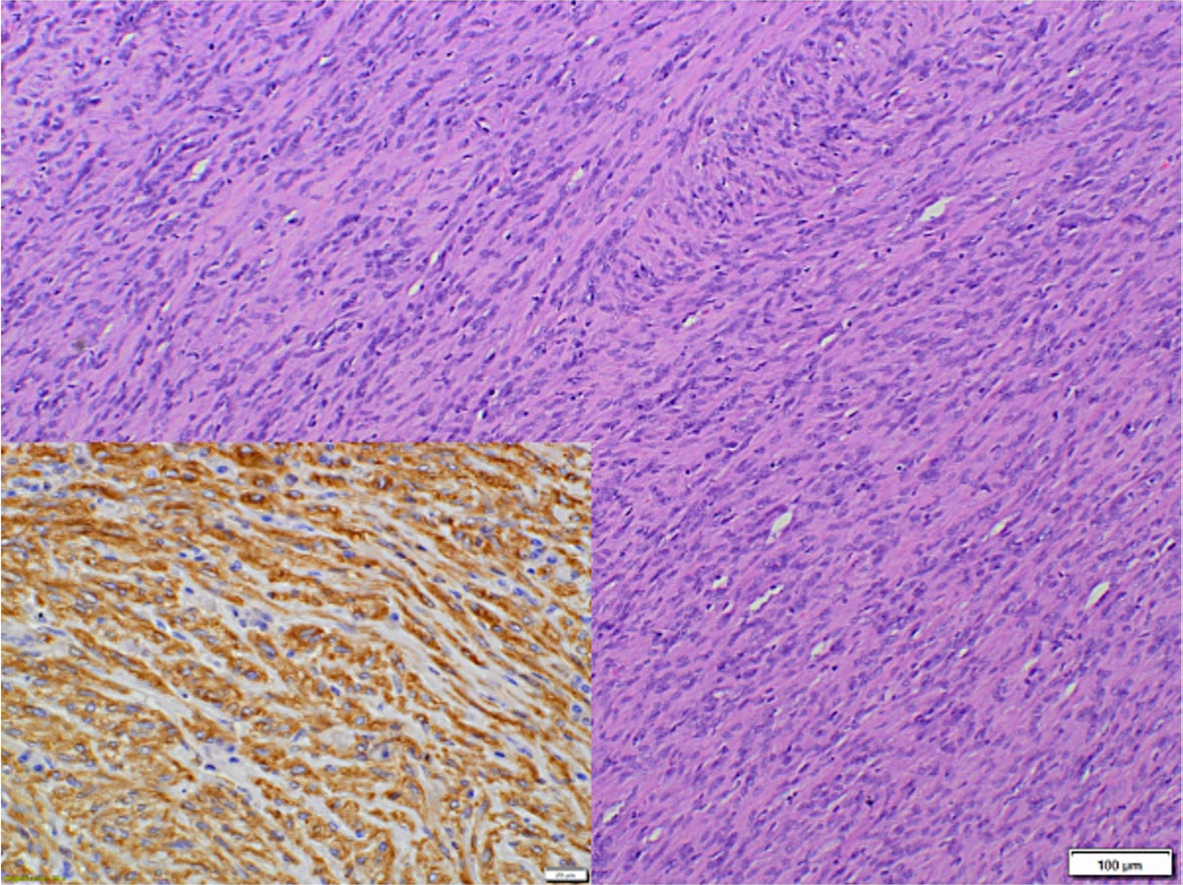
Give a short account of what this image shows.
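This is a densely cellular tumour made up of spindle-shaped cells packed closely together. The cells have elongated, oval to fusiform nuclei stained blue-purple and pale pink, poorly defined cytoplasm. They are arranged in long streaming bundles that run in different directions, meeting at angles and in places forming a whorled area near the top of the field. Small, thin-walled vascular spaces are scattered among the bundles. In the inset, most spindle cells show a brown cytoplasmic stain with blue nuclei, separated by paler stroma.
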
